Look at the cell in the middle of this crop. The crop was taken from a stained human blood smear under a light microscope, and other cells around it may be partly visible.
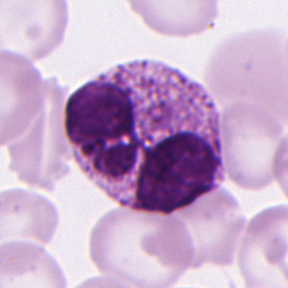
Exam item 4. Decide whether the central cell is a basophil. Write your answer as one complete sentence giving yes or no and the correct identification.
Yes, the identification of the central cell as a basophil is correct.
